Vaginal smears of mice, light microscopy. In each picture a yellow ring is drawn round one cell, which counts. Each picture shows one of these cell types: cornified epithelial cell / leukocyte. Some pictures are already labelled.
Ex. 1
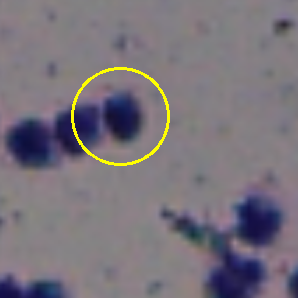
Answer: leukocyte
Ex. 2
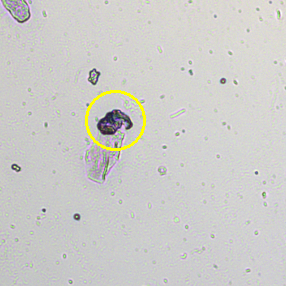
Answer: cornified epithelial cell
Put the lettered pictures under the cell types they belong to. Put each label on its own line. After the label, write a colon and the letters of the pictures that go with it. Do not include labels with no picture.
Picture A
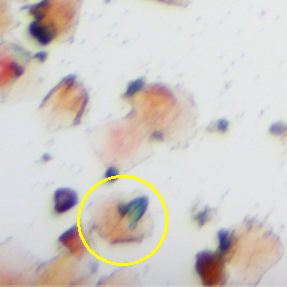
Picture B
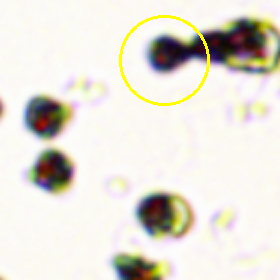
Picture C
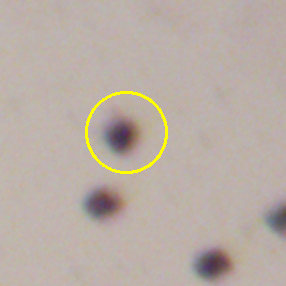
cornified epithelial cell: A
leukocyte: B, C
